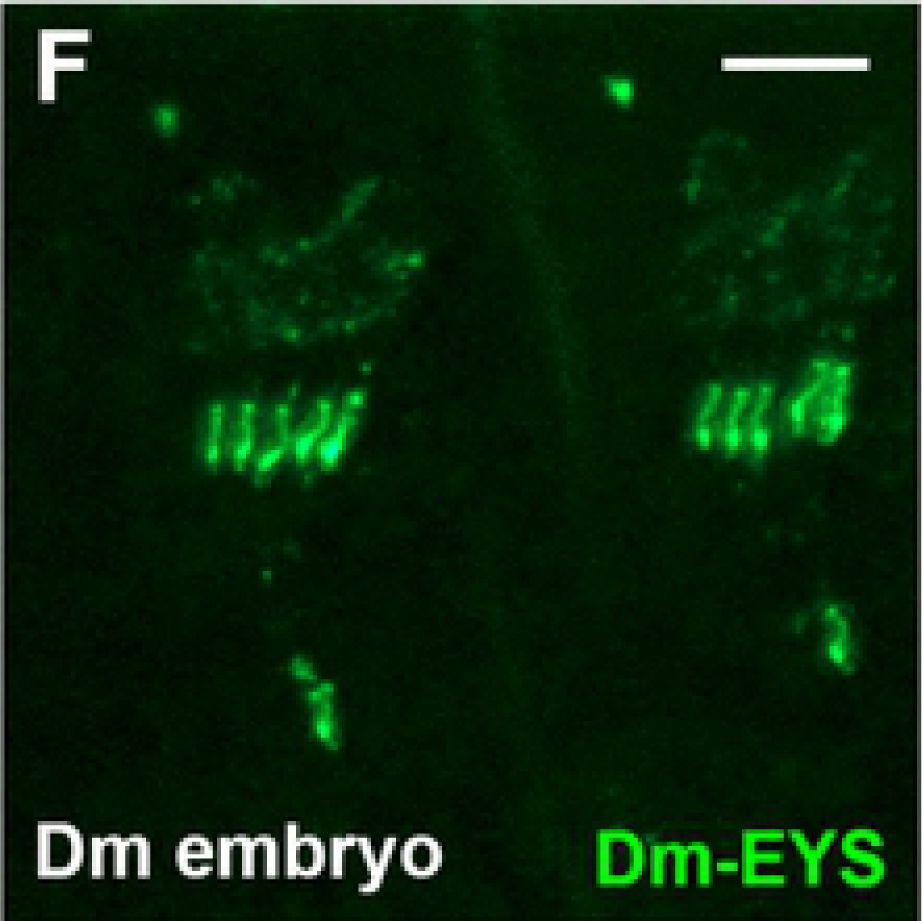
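Two lateral chordotonal organs of the embryo lie side by side, one on the left and one on the right. Each shows a row of five short, bright green elongated structures aligned in parallel, like a small comb. Above each row lies a fainter, granular green crescent, and below it a separate small bright streak.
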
